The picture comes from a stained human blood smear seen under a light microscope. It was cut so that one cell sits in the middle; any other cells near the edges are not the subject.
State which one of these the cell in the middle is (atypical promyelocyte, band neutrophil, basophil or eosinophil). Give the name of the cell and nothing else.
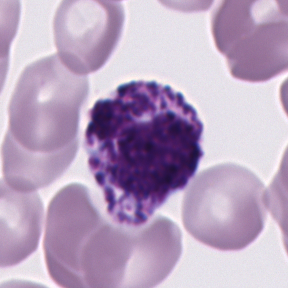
basophil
